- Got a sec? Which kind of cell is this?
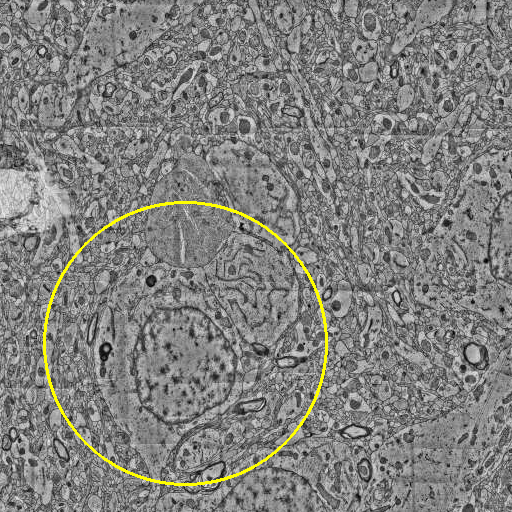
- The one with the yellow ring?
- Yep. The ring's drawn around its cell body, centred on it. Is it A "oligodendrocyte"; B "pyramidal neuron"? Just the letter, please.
B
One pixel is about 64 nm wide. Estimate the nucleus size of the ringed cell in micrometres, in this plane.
Roughly 7 micrometers across in this plane.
